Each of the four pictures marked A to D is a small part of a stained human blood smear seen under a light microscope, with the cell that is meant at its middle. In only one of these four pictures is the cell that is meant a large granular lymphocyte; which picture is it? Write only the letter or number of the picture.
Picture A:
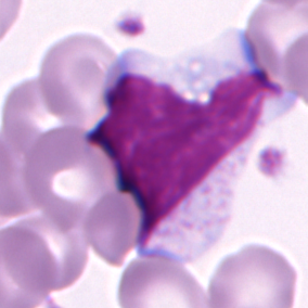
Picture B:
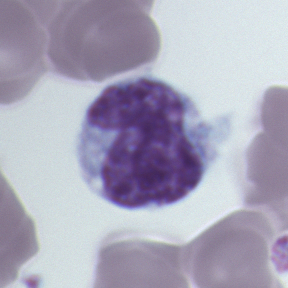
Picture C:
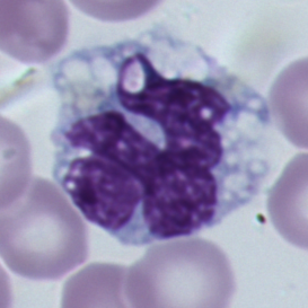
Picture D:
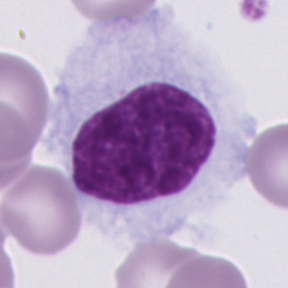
A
